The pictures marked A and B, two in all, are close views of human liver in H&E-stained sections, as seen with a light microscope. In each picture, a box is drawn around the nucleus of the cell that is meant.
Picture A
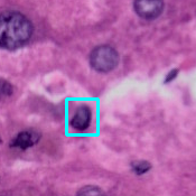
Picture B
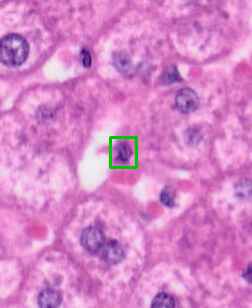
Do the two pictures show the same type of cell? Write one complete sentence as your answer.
No, the types are not the same, since picture A shows a “fibroblast or stellate cell” and picture B a Kupffer cell.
